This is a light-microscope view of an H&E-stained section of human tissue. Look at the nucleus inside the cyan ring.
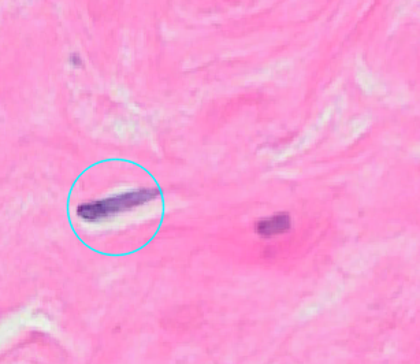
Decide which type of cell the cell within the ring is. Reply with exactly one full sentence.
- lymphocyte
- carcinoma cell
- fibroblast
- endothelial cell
The expected answer is simply that the cell within the ring is a fibroblast.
